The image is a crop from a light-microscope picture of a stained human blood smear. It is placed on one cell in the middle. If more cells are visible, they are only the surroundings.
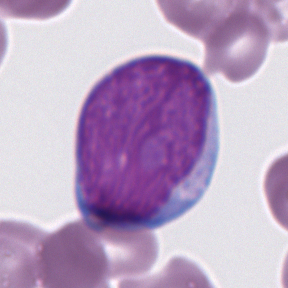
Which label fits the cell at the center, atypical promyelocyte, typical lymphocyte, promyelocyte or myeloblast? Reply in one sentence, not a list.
The central cell in this smear crop is a myeloblast.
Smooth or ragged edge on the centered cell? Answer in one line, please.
In short, the margin is smooth with no projections at all.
